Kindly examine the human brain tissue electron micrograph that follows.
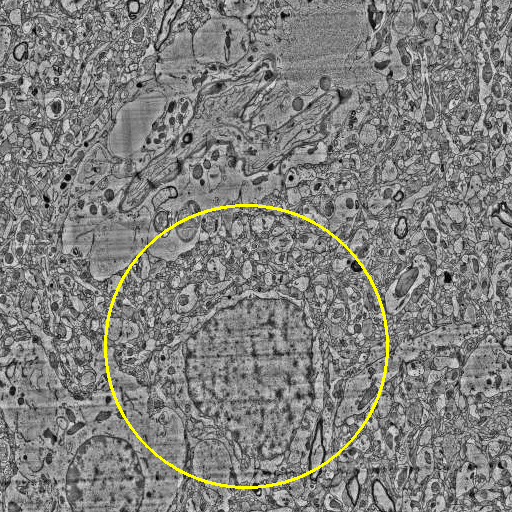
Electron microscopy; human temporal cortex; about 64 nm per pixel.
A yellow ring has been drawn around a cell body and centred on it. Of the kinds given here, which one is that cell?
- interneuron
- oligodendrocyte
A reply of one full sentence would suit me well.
The micrograph's ringed cell, the one at the ring's centre, is an interneuron.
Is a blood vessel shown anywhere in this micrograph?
Yes, one shows.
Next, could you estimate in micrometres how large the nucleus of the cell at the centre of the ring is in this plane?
Approximately 10 x 8 micrometres in this plane.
